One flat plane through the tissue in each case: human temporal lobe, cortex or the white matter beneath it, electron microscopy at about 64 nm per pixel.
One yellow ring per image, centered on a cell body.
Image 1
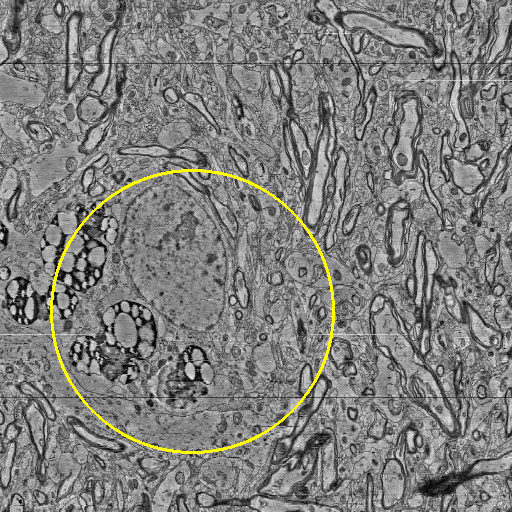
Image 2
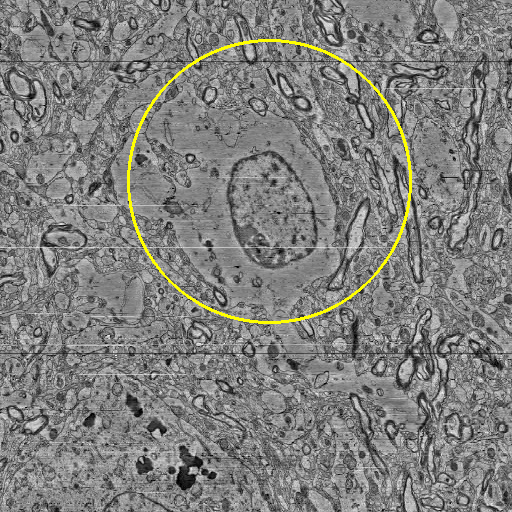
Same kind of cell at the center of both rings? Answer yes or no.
yes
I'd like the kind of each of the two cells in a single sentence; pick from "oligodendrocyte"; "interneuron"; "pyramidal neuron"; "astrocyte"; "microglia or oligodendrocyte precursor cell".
In each picture the ringed cell is an astrocyte.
